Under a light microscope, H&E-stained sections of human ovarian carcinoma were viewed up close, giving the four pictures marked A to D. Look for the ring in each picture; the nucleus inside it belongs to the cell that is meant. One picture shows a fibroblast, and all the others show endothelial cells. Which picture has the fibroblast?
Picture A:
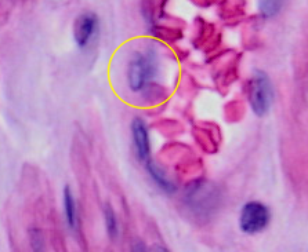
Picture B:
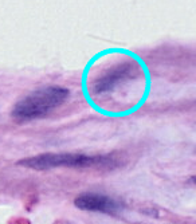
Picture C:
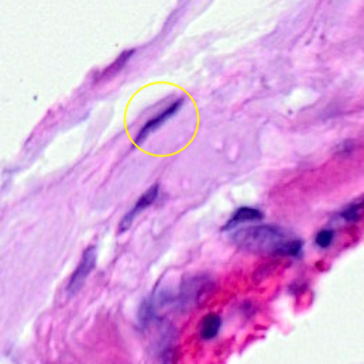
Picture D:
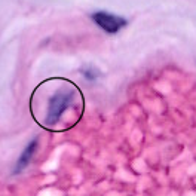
C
